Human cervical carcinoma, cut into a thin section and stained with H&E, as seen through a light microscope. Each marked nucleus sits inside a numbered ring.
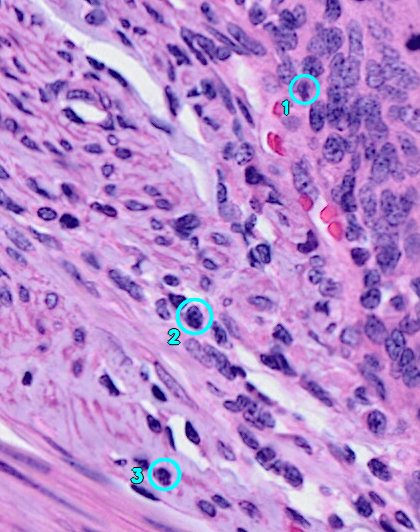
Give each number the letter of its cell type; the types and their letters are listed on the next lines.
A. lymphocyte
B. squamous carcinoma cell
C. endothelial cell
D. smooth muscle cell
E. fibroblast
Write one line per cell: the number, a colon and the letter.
1: B
2: A
3: A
